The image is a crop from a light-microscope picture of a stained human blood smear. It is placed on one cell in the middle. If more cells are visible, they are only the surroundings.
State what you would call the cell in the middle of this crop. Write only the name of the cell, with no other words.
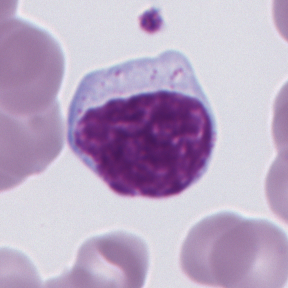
large granular lymphocyte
